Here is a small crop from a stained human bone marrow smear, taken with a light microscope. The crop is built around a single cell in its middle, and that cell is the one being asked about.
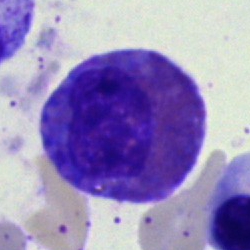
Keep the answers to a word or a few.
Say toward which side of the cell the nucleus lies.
left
